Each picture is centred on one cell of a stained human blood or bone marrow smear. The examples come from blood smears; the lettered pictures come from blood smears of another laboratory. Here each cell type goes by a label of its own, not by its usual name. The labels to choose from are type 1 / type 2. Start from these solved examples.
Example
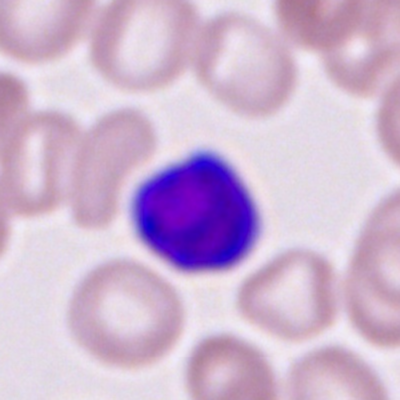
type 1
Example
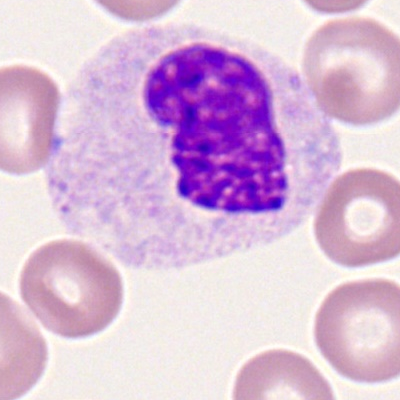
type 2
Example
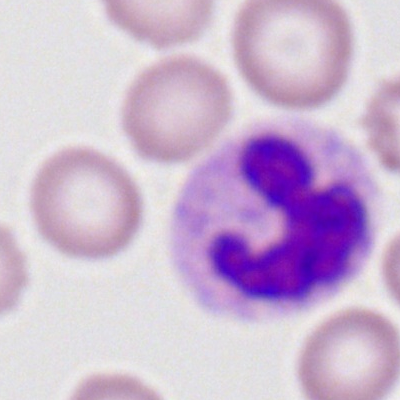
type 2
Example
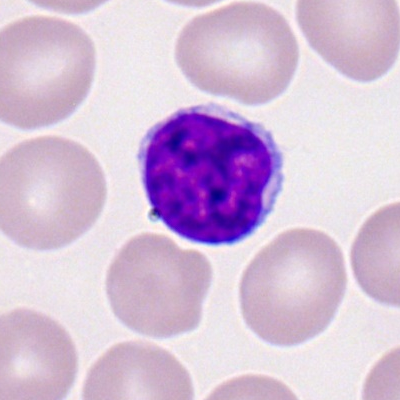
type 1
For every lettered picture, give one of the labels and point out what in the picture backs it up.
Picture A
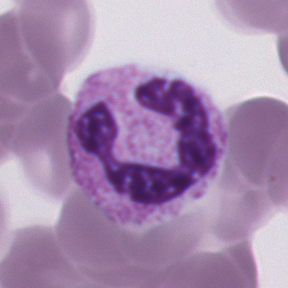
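type 2. Evidence: The cytoplasm is abundant and pale pinkish-lilac.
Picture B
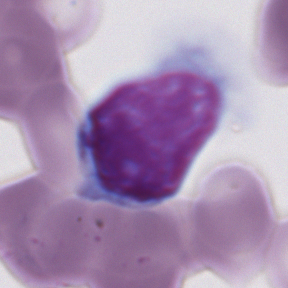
type 1. Evidence: The cytoplasm forms only a thin rim around the nucleus.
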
